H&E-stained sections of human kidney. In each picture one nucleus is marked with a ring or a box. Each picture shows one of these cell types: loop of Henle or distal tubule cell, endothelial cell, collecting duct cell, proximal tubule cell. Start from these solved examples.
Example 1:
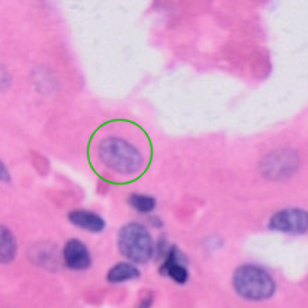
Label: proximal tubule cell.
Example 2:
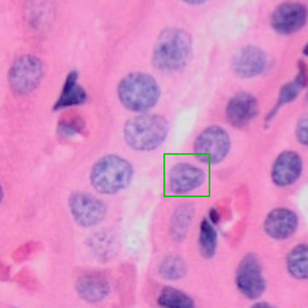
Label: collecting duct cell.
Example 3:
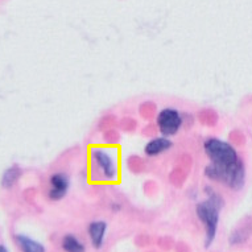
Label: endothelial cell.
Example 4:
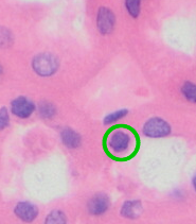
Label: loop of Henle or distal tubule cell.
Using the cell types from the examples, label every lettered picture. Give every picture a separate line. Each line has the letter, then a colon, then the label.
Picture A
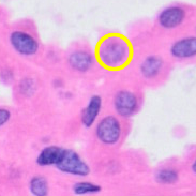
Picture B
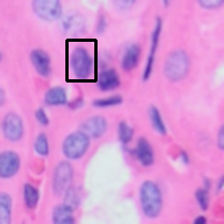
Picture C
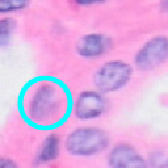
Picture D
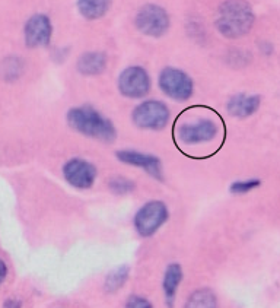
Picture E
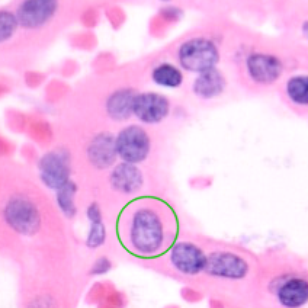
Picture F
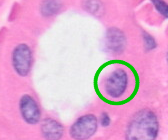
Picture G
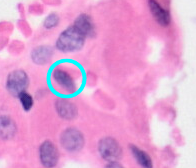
A: loop of Henle or distal tubule cell.
B: collecting duct cell.
C: loop of Henle or distal tubule cell.
D: loop of Henle or distal tubule cell.
E: collecting duct cell.
F: loop of Henle or distal tubule cell.
G: endothelial cell.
